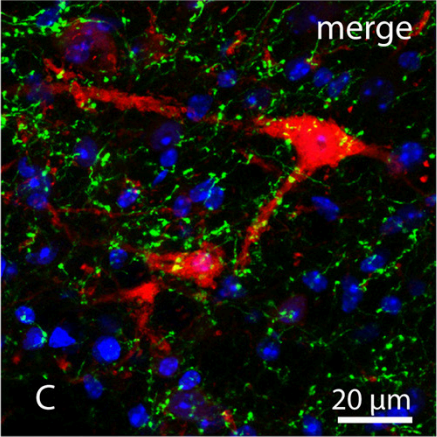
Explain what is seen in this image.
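A red multipolar neuron with long dendrites is surrounded by a dense meshwork of fine green fibres studded with small bright green dots, which are axon terminals. Many of these dots sit right on the cell body and along the dendrites, some overlapping to give yellow spots, while round blue nuclei of other cells are scattered throughout.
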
